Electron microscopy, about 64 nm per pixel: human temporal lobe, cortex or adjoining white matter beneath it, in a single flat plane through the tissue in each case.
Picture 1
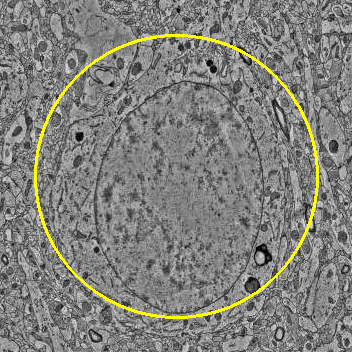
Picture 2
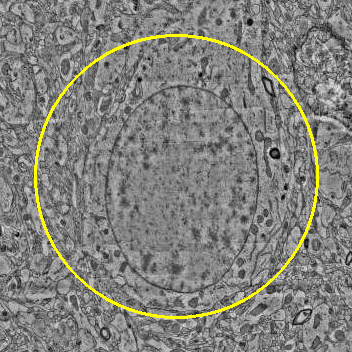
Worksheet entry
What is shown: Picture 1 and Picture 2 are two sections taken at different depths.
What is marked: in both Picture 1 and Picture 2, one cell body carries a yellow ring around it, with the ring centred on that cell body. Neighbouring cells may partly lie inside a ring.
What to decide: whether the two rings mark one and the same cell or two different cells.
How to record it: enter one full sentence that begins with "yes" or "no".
Yes, the two rings mark one cell and not separate cells.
